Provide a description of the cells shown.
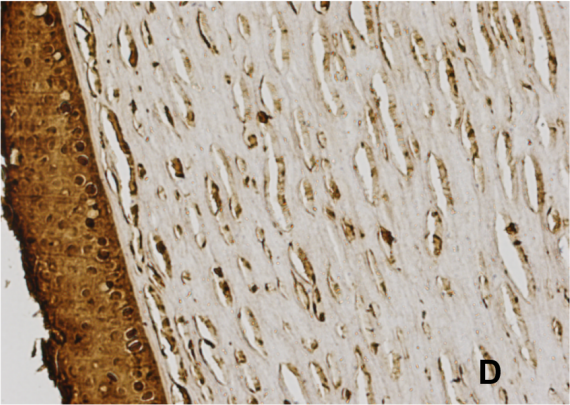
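This is a section of cornea with a thick stratified epithelium along the left edge, made of many layers of tightly packed cells with round nuclei, strongly stained brown. Just beneath it runs a thin pale acellular band, and beyond that the stroma of parallel collagen lamellae with scattered elongated cells lying in clefts, many of them stained dark brown.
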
